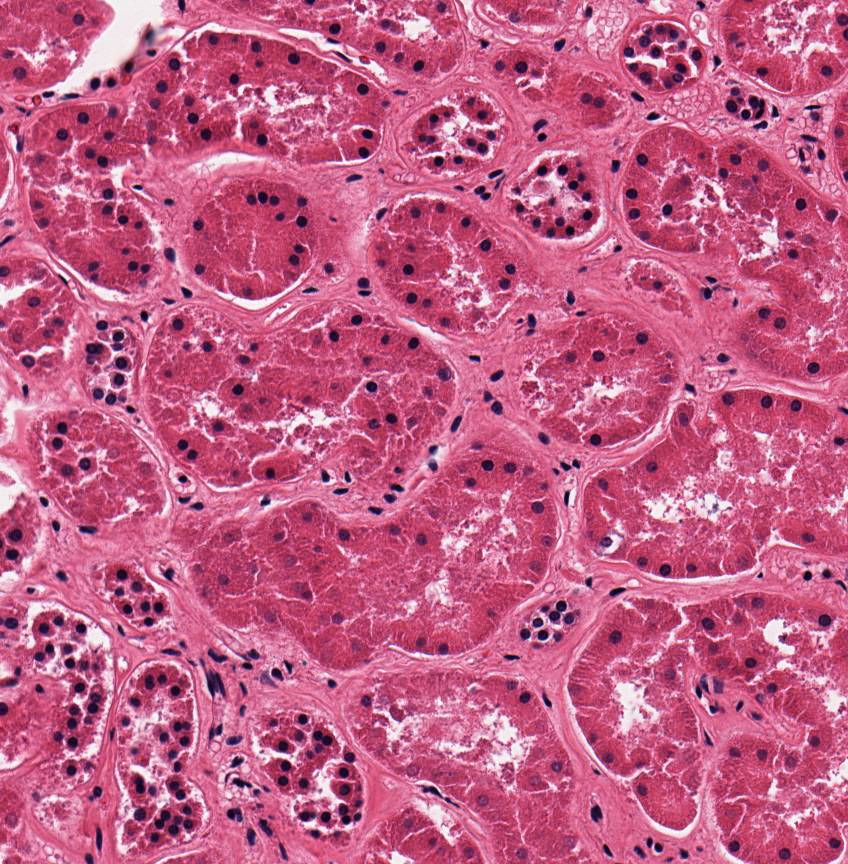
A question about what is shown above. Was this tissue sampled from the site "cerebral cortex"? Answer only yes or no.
no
